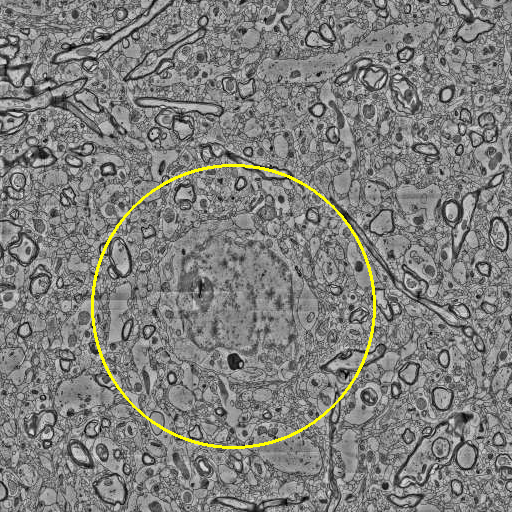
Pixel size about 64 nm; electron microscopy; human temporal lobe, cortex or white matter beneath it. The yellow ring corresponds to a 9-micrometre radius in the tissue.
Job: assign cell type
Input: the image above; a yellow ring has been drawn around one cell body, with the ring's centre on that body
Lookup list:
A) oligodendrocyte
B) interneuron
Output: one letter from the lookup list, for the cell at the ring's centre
B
